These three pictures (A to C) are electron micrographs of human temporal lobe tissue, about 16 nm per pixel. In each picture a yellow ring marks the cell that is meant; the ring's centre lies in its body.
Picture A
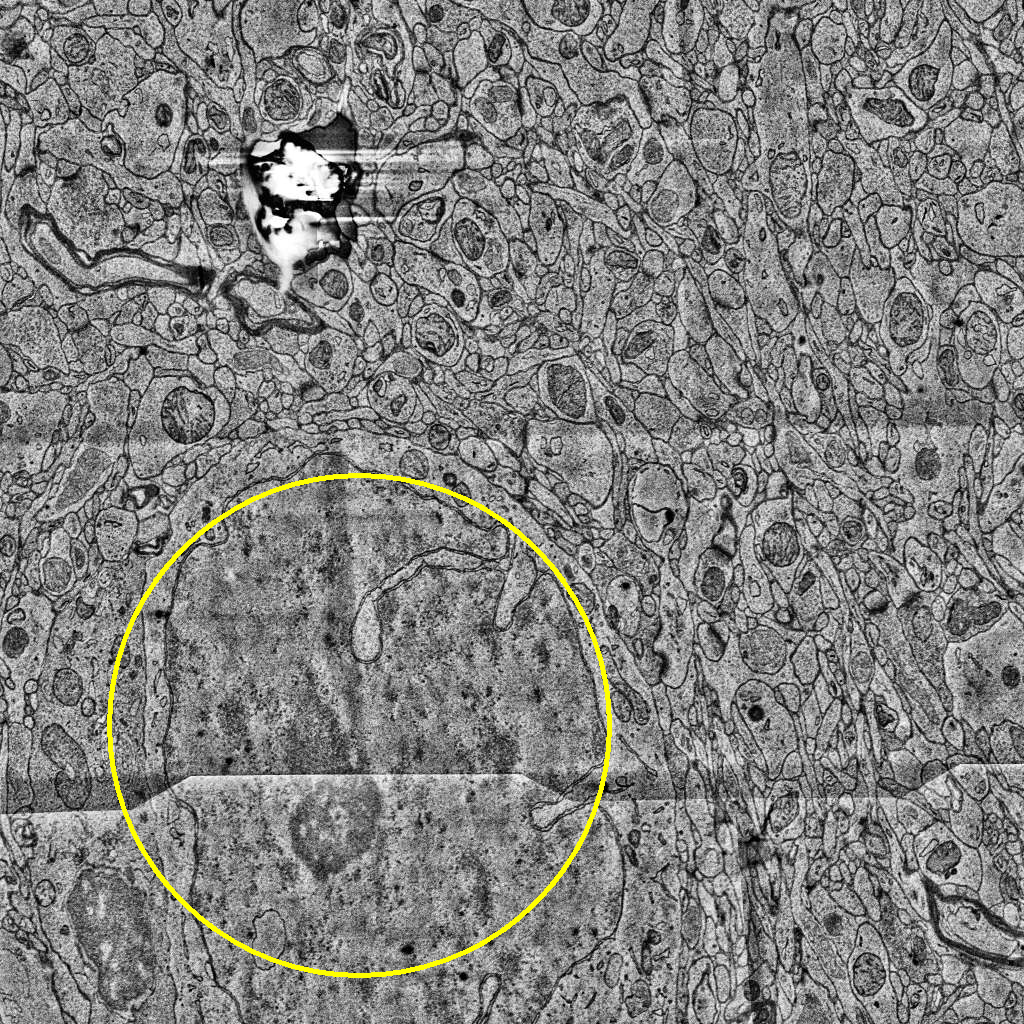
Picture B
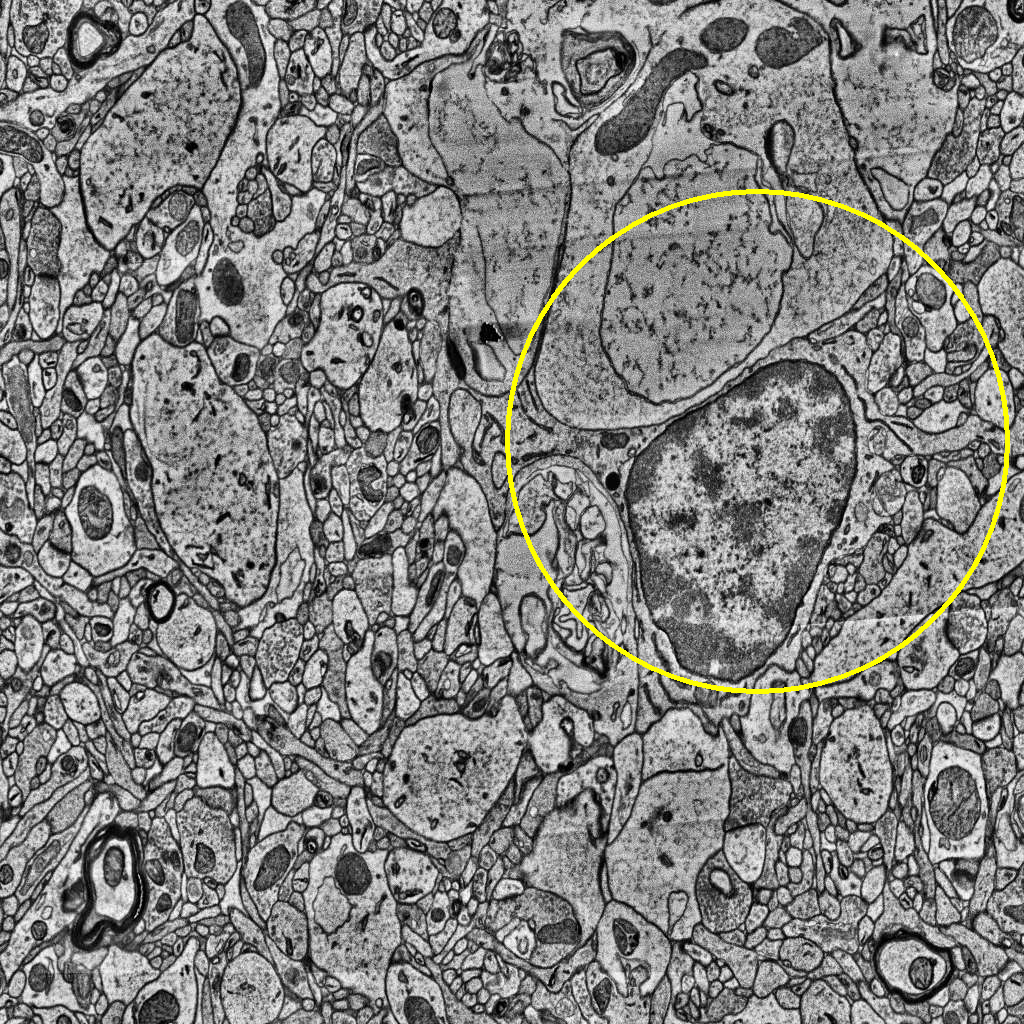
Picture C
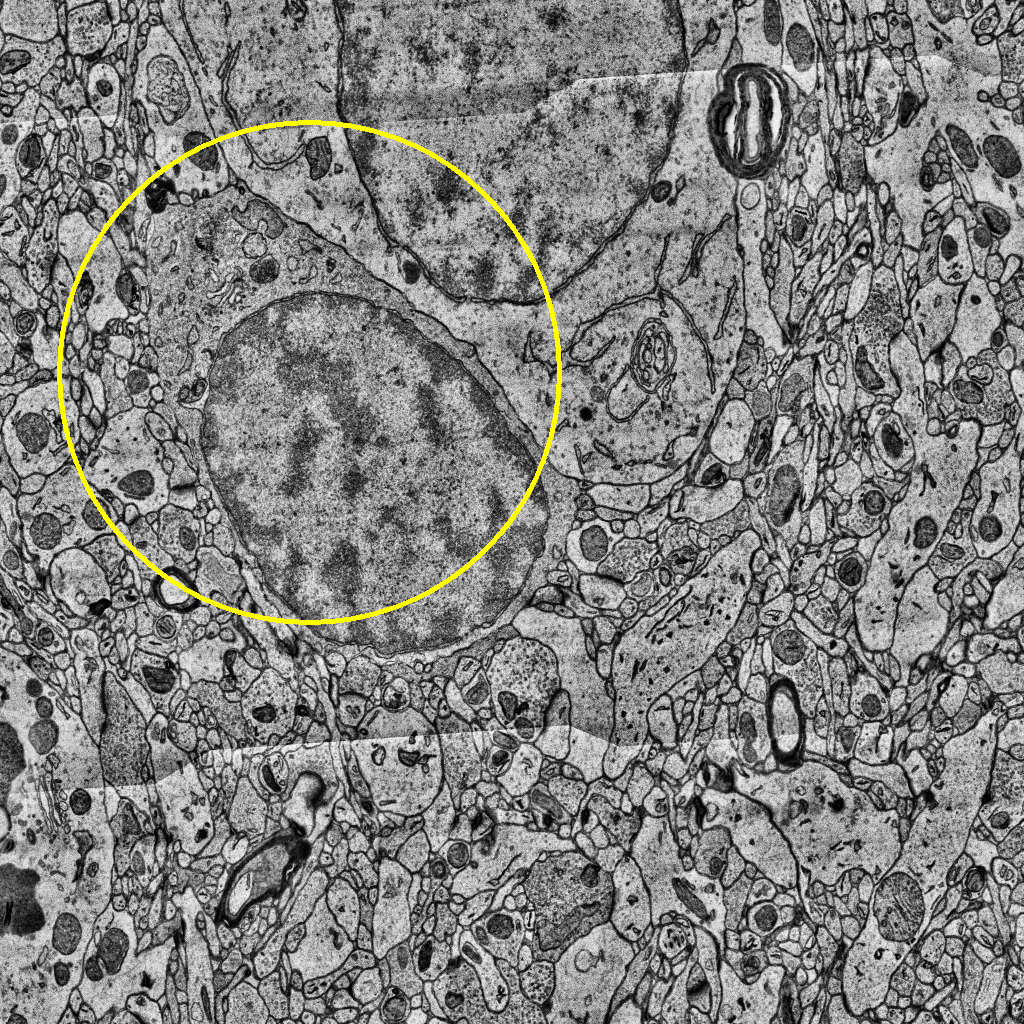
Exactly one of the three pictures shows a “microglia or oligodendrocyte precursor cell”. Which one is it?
The “microglia or oligodendrocyte precursor cell” is the one in picture B.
